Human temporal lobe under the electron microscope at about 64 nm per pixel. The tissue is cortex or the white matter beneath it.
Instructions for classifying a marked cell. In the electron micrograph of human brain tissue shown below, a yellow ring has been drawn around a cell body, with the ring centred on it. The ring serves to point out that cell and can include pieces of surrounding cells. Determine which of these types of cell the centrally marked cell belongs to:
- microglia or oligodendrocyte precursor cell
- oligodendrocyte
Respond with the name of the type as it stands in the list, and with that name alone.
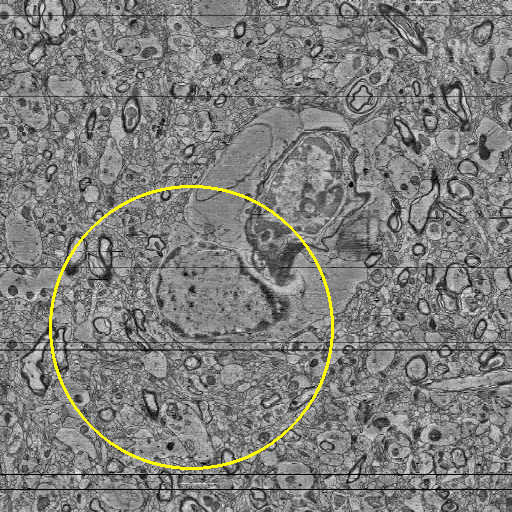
microglia or oligodendrocyte precursor cell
